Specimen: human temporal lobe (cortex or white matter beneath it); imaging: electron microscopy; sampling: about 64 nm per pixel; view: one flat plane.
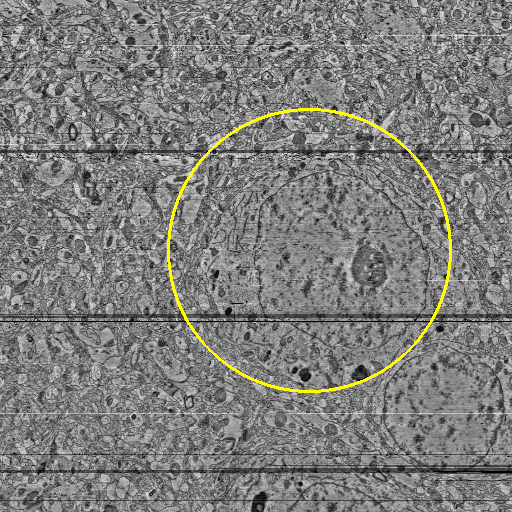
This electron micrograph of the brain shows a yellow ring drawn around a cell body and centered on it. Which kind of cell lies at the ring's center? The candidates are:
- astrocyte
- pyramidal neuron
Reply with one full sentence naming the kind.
The cell lying at the ring's center in this micrograph is a pyramidal neuron.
